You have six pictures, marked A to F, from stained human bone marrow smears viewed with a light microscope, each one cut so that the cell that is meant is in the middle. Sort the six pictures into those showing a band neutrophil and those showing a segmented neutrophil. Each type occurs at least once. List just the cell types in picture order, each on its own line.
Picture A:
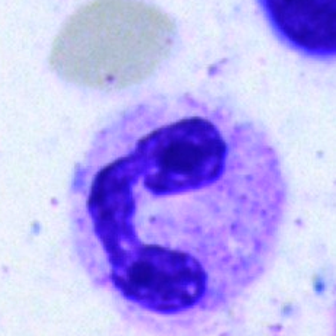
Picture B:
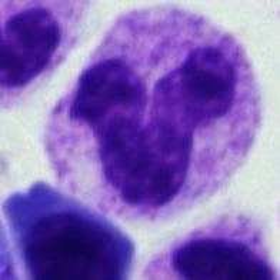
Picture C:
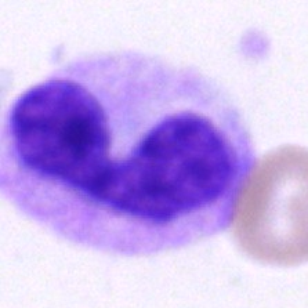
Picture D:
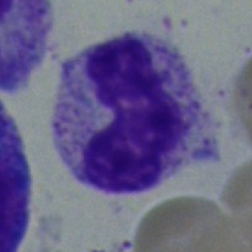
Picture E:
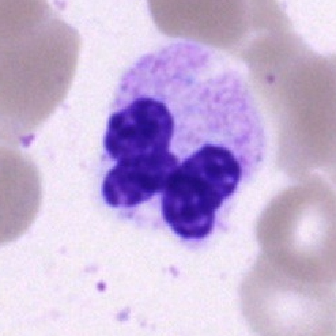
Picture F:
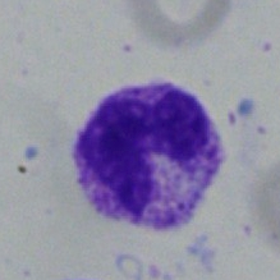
segmented neutrophil
segmented neutrophil
band neutrophil
band neutrophil
segmented neutrophil
segmented neutrophil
